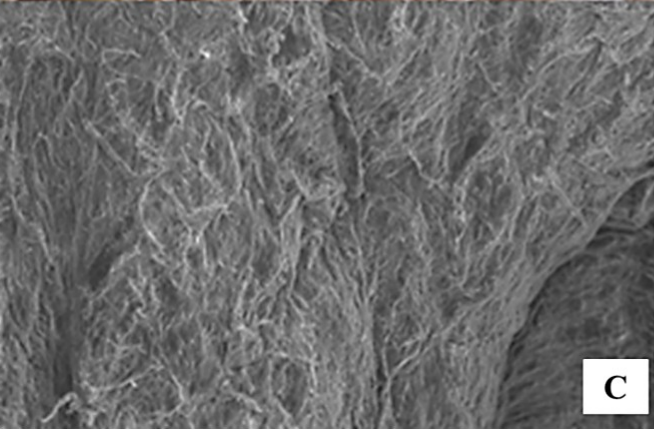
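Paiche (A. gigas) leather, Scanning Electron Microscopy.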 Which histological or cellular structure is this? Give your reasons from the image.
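Fine collagen fibers. A dense meshwork of thin interwoven fibrils covers the surface. No cellular covering layer is seen over the fibrils.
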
